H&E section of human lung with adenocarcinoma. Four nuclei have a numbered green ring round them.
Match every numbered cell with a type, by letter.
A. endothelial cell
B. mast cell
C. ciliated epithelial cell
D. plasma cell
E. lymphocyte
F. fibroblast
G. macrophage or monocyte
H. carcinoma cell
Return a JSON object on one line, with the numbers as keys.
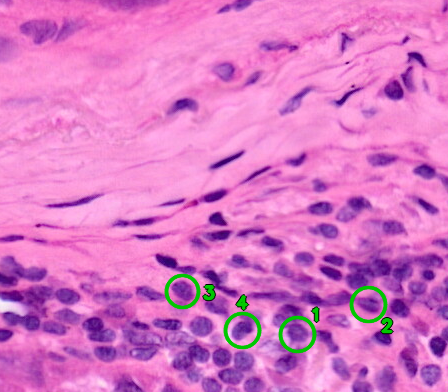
{"1": "E", "2": "E", "3": "B", "4": "E"}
